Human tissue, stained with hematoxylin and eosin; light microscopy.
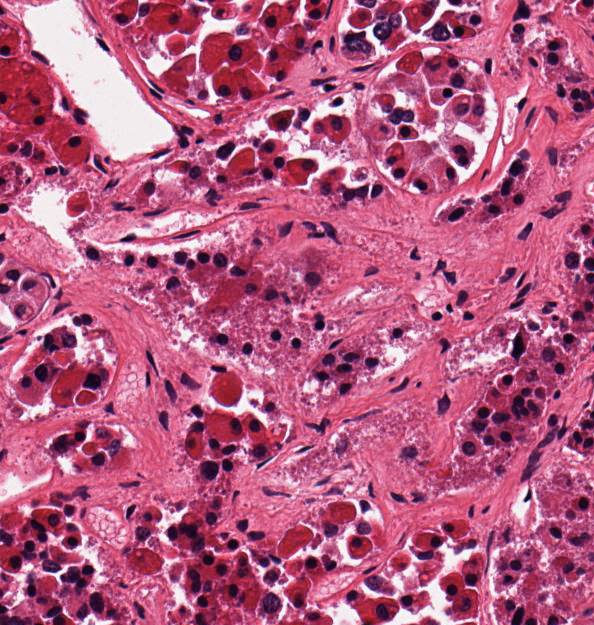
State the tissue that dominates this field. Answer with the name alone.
pars distalis of the pituitary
